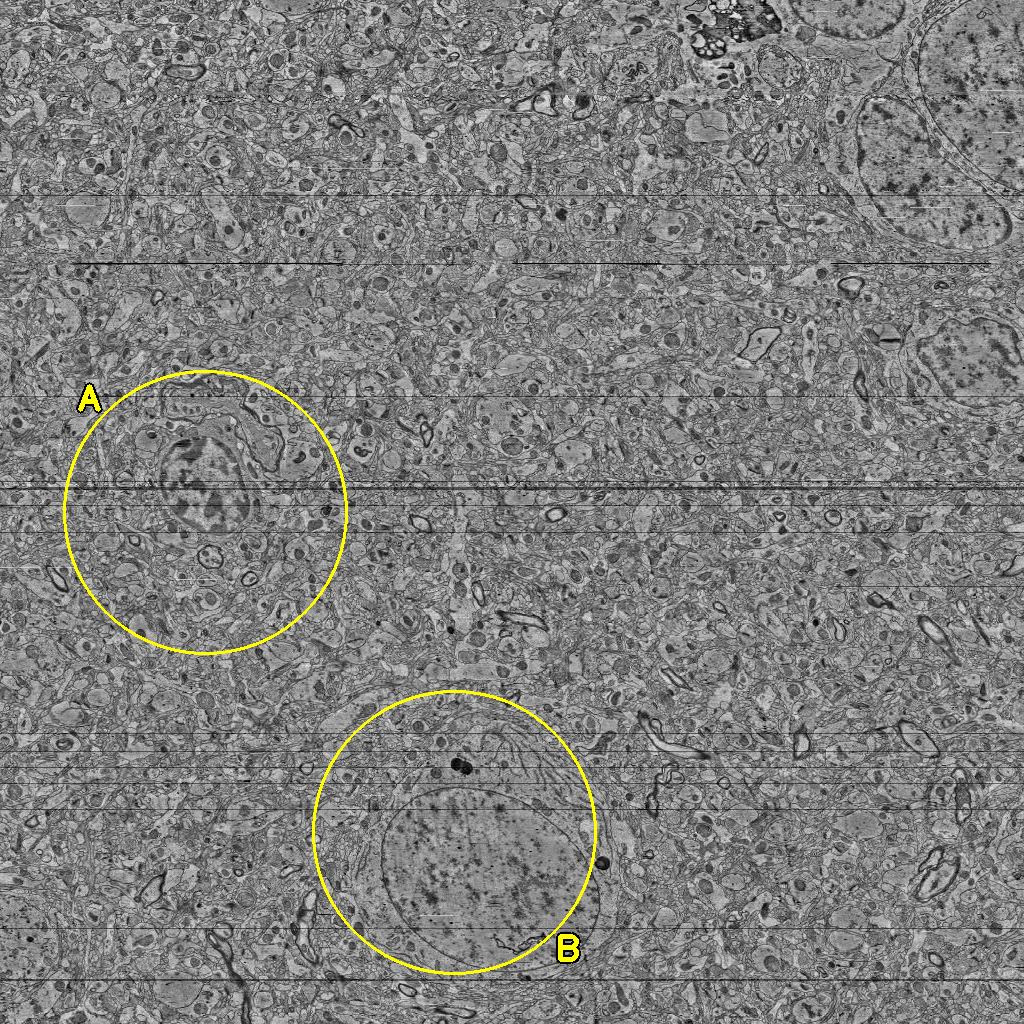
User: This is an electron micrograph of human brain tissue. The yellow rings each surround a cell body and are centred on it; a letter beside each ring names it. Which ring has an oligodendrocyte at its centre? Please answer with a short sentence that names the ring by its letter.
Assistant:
Ring A has it at its centre.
